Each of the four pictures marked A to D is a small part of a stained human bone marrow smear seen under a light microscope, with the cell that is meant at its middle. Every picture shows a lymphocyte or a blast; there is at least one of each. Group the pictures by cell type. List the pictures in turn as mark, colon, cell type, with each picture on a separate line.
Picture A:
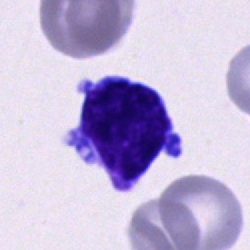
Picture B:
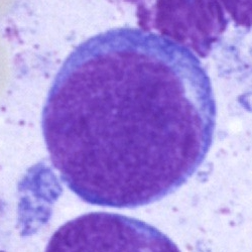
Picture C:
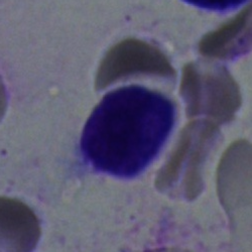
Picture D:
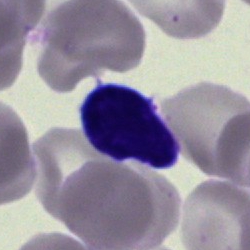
A: blast
B: blast
C: lymphocyte
D: lymphocyte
